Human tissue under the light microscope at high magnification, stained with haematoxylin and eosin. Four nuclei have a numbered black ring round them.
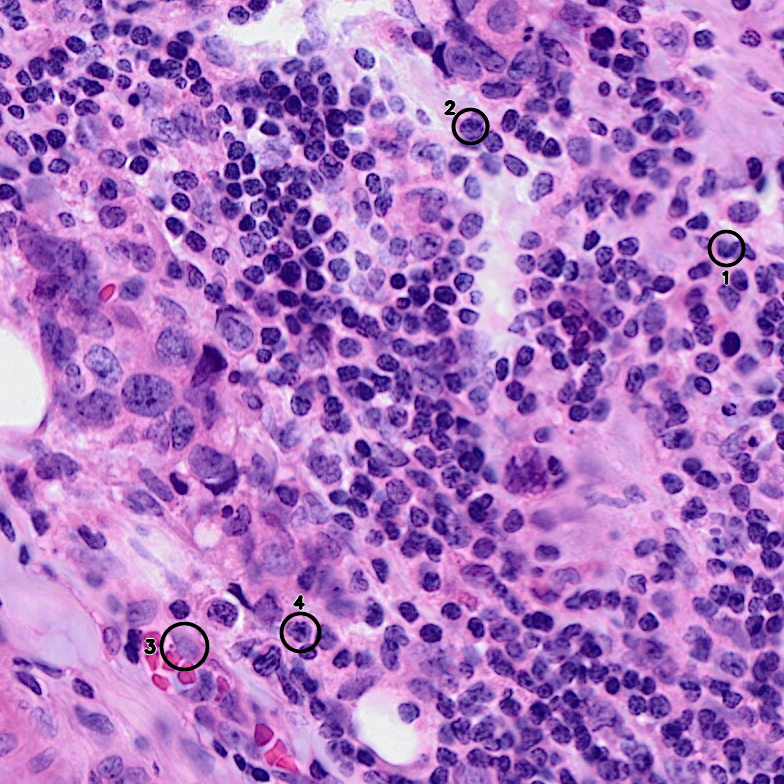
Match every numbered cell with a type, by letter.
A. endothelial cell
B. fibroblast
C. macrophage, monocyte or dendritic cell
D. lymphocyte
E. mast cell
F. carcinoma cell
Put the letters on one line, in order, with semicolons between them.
D; D; A; D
